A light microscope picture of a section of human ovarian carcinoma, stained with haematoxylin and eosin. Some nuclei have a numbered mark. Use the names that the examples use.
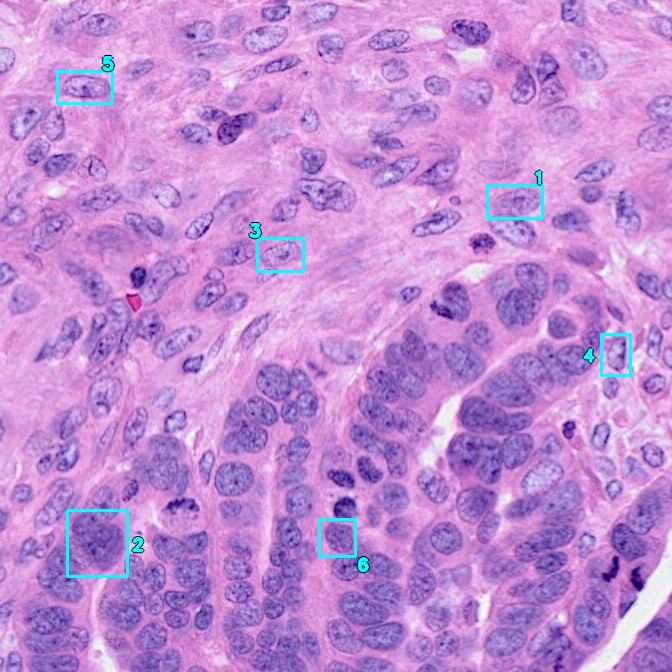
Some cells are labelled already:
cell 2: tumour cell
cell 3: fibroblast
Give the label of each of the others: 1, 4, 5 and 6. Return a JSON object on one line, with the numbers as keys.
{"1": "fibroblast", "4": "fibroblast", "5": "fibroblast", "6": "tumour cell"}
